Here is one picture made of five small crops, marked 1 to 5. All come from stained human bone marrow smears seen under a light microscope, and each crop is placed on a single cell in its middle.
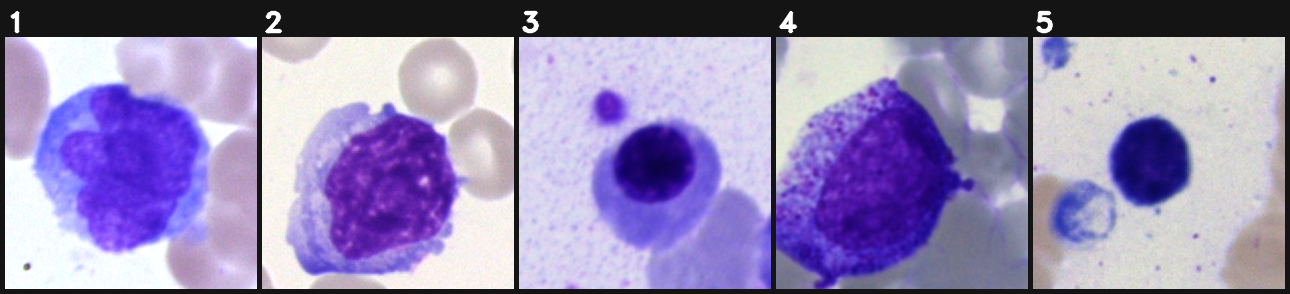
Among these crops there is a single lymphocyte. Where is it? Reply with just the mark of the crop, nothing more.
5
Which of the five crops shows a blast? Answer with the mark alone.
2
